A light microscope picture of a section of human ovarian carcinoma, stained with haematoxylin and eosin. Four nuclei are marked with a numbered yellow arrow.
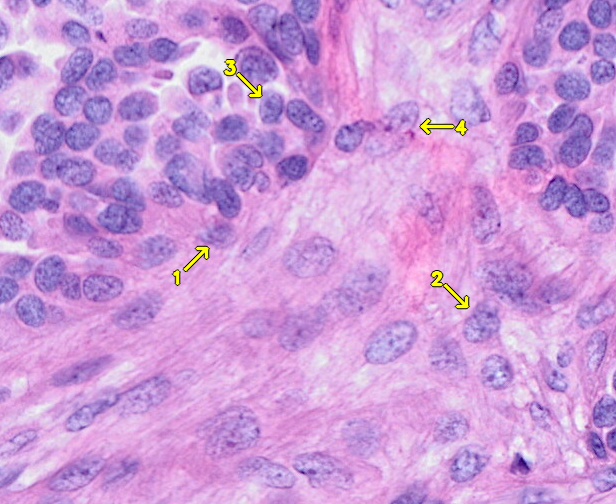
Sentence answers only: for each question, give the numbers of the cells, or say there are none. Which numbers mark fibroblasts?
The cells bearing the numbers 1, 2 and 4 are fibroblasts.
